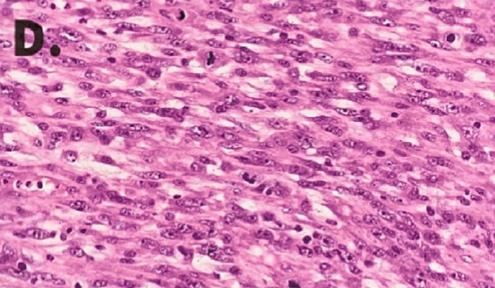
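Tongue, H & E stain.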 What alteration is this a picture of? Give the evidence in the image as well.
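Nuclei vary in size and shape from cell to cell. Some nuclei are plump and oval, others elongated. That points to this answer: moderate nuclear pleomorphism.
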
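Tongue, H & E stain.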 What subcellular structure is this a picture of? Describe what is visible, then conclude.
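Many nuclei show a distinct nucleolus within a clear nucleus. On this evidence: vesicular chromatin.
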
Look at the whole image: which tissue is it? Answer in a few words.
Spindle cell tumor.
